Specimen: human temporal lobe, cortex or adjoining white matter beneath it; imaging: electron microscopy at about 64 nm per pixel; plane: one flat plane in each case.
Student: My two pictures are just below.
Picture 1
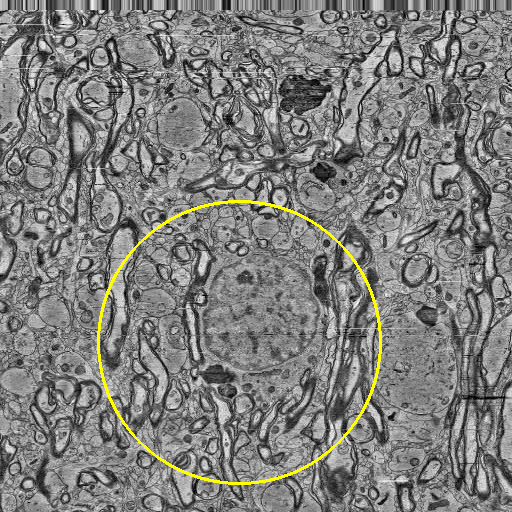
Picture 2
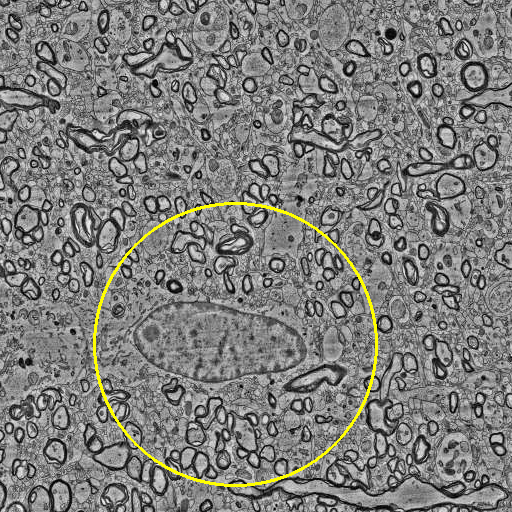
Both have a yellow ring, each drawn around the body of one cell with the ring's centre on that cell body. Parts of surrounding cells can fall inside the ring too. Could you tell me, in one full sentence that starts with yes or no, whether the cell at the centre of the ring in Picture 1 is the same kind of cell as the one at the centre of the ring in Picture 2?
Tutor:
No, the two cells are of two kinds.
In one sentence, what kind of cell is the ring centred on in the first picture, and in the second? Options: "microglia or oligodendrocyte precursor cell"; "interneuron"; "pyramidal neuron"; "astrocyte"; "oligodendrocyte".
The cell at the centre of the second ring is a microglial cell or oligodendrocyte precursor cell; the first ring's cell is an oligodendrocyte.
